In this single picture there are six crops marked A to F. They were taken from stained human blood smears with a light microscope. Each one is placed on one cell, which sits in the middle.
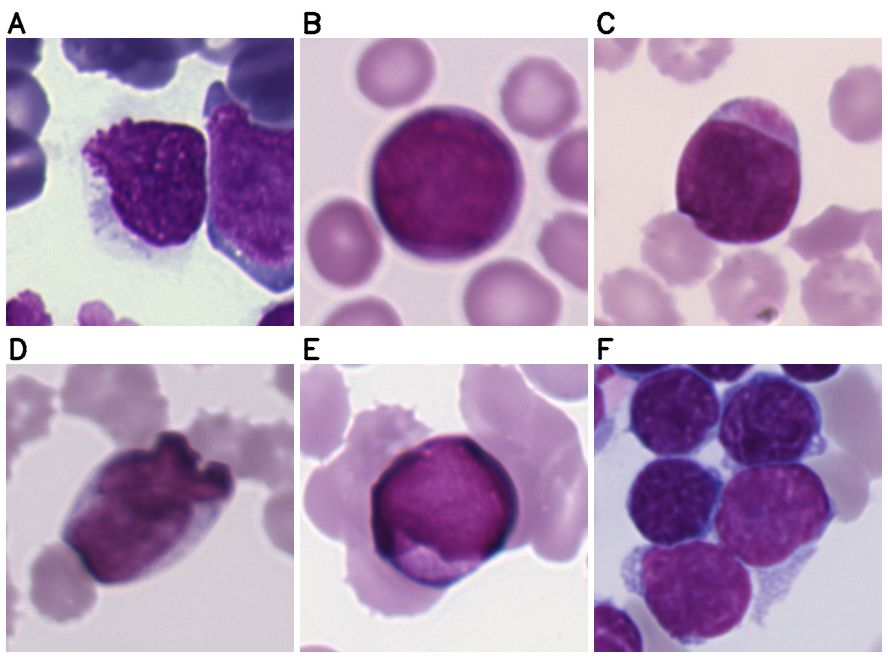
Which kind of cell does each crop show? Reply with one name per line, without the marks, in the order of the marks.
smudge cell
myeloblast
myeloblast
myeloblast
myeloblast
myeloblast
